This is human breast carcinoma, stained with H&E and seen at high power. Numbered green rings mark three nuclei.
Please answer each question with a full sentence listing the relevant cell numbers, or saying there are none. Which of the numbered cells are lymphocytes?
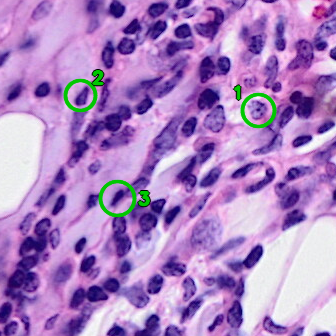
Cells 2 and 3 share one type; they are lymphocytes.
